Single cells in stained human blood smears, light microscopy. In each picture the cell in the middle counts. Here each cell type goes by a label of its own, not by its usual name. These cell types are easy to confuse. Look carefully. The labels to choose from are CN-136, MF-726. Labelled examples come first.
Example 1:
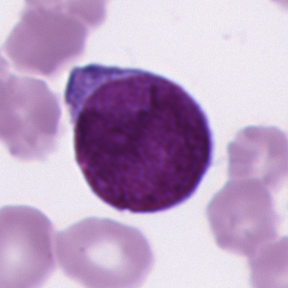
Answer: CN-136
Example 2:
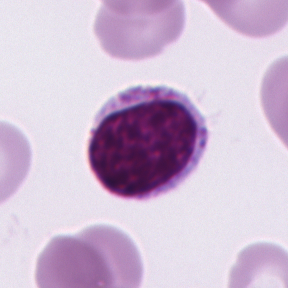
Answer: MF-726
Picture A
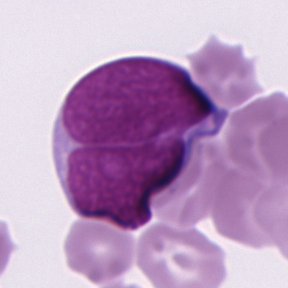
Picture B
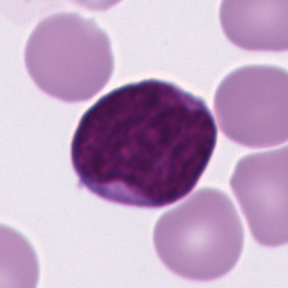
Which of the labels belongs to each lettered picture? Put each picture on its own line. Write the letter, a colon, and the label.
A: CN-136
B: CN-136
